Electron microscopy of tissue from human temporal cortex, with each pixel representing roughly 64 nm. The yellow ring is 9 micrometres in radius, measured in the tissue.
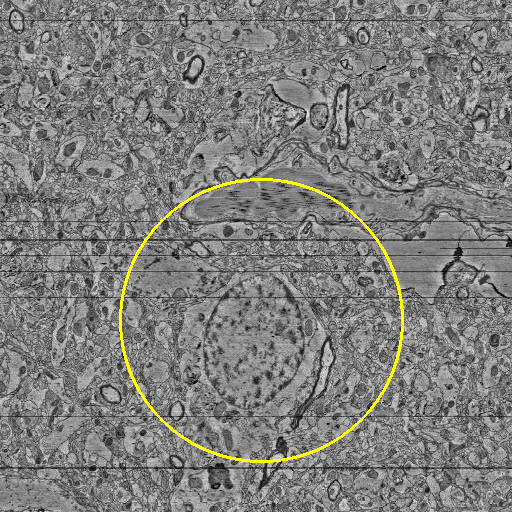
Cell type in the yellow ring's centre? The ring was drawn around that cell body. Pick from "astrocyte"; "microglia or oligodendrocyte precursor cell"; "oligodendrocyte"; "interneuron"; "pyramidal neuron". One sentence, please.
The ringed cell body is that of an astrocyte.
